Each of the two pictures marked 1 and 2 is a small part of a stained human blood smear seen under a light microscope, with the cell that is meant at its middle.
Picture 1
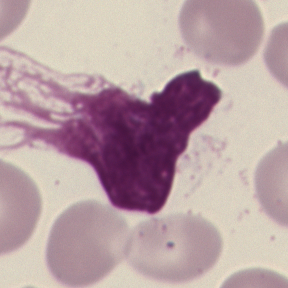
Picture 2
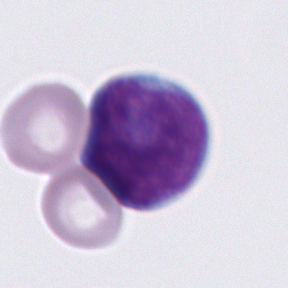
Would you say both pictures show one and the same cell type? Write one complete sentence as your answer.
No, they differ: the cell is a smudge cell in picture 1 and a myeloblast in picture 2.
